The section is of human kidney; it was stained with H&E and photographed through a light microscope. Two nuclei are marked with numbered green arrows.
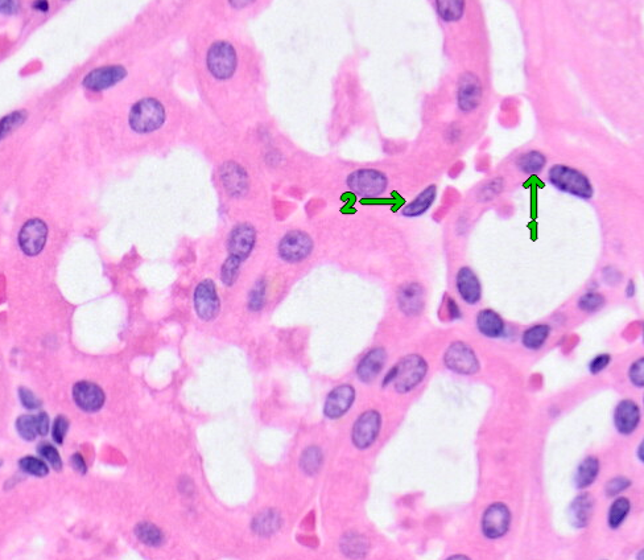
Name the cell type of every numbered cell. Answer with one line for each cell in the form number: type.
1: collecting duct cell
2: endothelial cell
